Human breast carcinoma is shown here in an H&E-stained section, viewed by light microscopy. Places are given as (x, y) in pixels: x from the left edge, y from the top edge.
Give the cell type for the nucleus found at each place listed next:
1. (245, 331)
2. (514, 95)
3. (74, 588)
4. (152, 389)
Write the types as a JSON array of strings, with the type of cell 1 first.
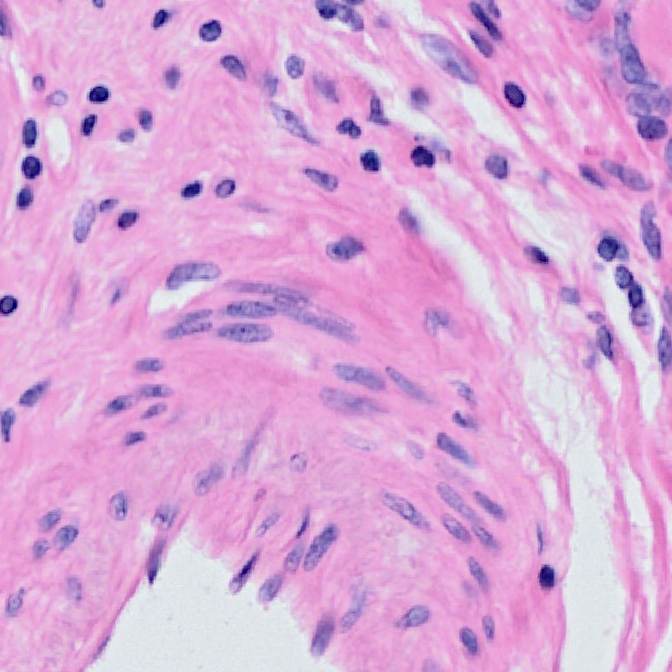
["endothelial cell", "lymphocyte", "endothelial cell", "endothelial cell"]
